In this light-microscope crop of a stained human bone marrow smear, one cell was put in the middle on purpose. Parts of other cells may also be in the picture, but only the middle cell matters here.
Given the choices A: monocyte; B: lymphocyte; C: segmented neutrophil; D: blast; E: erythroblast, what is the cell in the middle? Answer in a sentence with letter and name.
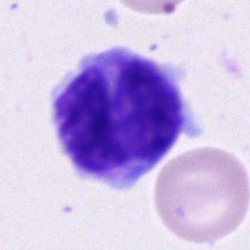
In this crop the central cell is a monocyte, which option A correctly states.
